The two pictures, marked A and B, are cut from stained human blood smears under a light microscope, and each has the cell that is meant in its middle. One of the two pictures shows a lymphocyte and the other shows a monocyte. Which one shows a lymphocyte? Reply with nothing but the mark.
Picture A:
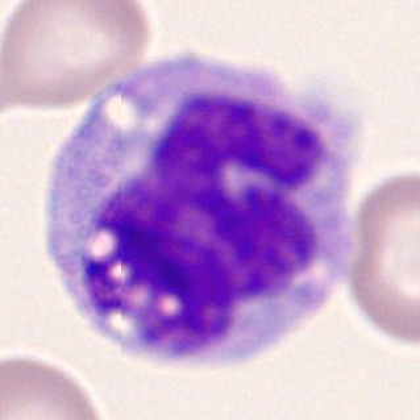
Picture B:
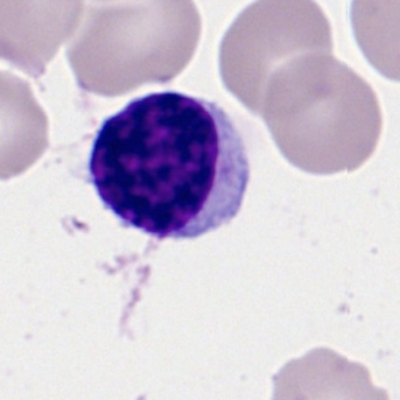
B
